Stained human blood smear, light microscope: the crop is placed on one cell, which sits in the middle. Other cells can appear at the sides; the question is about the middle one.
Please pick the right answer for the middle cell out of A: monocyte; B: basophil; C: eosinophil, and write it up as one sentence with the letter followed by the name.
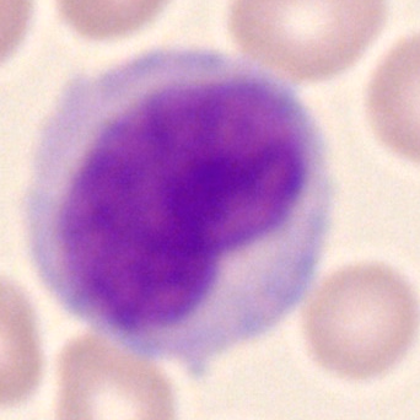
Option A is right in identifying the central cell as a monocyte.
